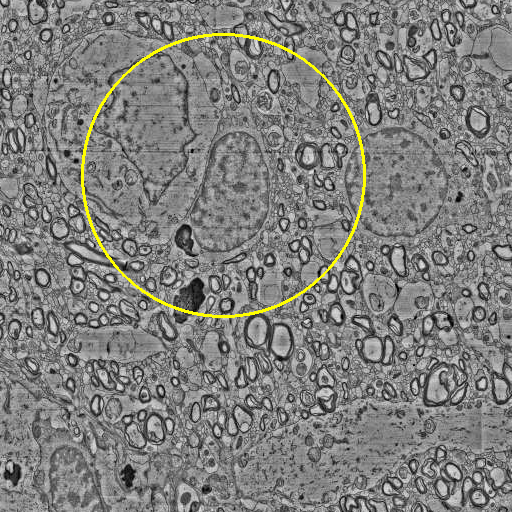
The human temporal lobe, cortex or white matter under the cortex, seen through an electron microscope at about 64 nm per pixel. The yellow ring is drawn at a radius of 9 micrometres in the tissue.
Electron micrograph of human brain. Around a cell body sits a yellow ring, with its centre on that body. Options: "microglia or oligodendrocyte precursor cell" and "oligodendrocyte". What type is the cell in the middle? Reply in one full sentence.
The cell sitting at the centre of the yellow ring is an oligodendrocyte.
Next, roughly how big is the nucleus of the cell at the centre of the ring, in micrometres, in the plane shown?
In this plane the nucleus spans approximately 8 by 5 micrometers.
